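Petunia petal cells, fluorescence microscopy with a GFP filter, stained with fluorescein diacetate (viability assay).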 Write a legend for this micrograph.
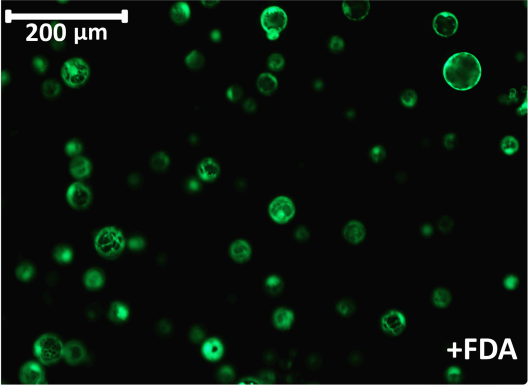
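Against a dark background lie many separate, spherical plant cells of different sizes, each glowing green. The fluorescence fills the cells, and in several of the larger ones it is stronger along the rim and in a network of strands across the cell, leaving darker inner areas. The cells are not joined into a tissue and show no angular outlines of cell walls; each is perfectly round.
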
